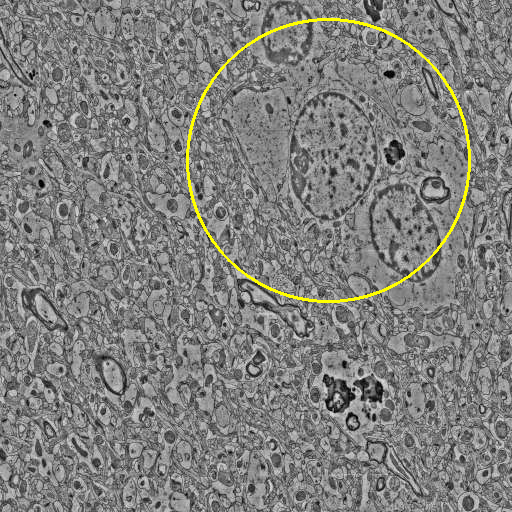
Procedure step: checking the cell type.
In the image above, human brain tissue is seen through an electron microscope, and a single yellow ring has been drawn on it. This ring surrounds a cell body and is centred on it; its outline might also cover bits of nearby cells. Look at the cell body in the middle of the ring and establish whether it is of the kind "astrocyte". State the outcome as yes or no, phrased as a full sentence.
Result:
Yes, the cell body at the ring's centre in the image is of the kind in question.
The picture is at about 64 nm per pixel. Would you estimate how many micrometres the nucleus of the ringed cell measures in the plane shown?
In this plane the nucleus measures roughly 8 by 6 micrometers.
